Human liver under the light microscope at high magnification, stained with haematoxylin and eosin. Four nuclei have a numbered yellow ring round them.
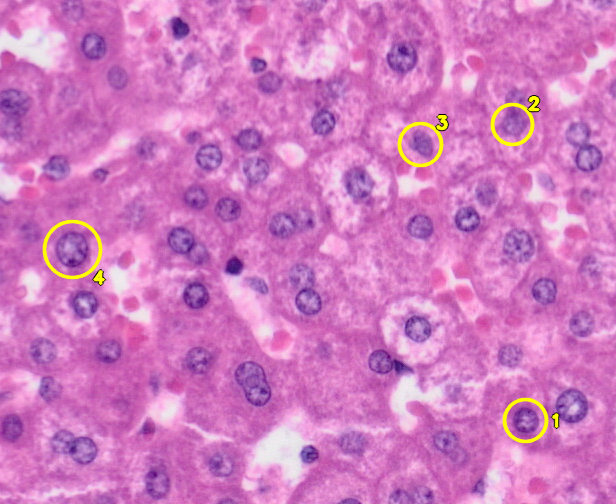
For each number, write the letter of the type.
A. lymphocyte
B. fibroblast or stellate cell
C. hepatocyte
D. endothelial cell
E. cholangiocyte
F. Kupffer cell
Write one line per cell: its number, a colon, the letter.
1: C
2: C
3: D
4: C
